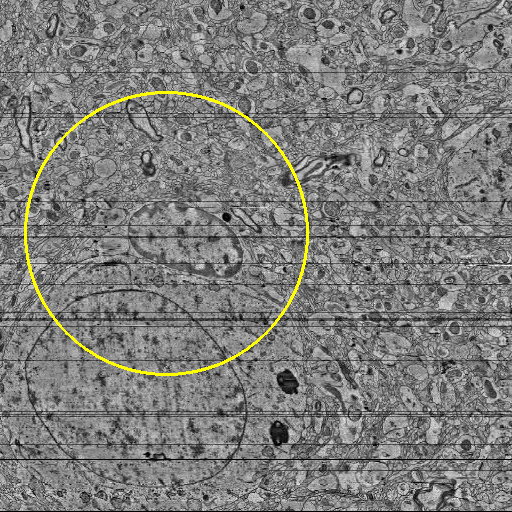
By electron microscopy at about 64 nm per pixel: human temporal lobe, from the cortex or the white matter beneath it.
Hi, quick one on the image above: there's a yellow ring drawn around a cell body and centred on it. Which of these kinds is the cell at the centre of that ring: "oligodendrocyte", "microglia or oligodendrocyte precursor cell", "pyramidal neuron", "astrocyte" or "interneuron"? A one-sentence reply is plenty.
The cell at the centre of the ring is a microglial cell or oligodendrocyte precursor cell.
